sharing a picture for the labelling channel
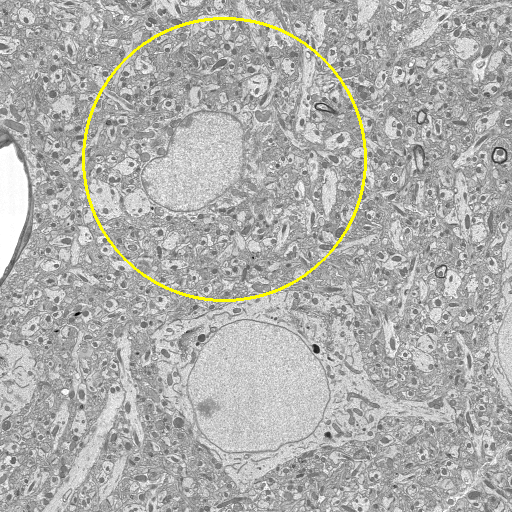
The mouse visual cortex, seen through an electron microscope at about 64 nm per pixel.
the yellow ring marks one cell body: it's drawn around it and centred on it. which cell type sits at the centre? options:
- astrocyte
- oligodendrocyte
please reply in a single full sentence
In the picture, the cell at the ring's centre is an astrocyte, going by the list.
